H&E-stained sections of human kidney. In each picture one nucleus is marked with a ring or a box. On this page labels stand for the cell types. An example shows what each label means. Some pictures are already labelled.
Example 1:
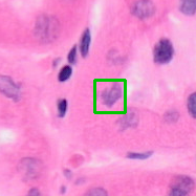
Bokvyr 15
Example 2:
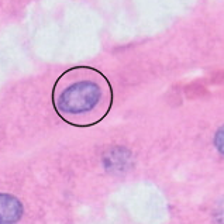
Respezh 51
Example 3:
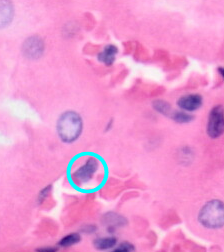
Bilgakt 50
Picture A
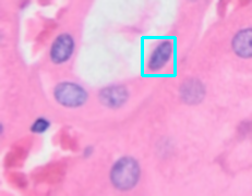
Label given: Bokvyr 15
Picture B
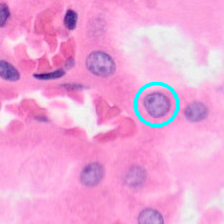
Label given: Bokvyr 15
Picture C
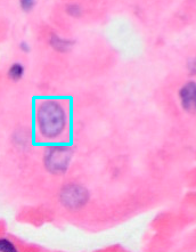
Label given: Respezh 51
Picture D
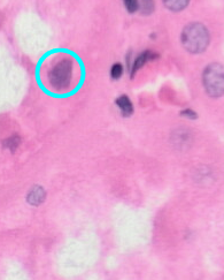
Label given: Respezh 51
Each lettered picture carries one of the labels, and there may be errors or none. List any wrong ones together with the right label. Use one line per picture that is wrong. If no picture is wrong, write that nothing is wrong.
Wrong: B (Bokvyr 15); correct: Respezh 51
